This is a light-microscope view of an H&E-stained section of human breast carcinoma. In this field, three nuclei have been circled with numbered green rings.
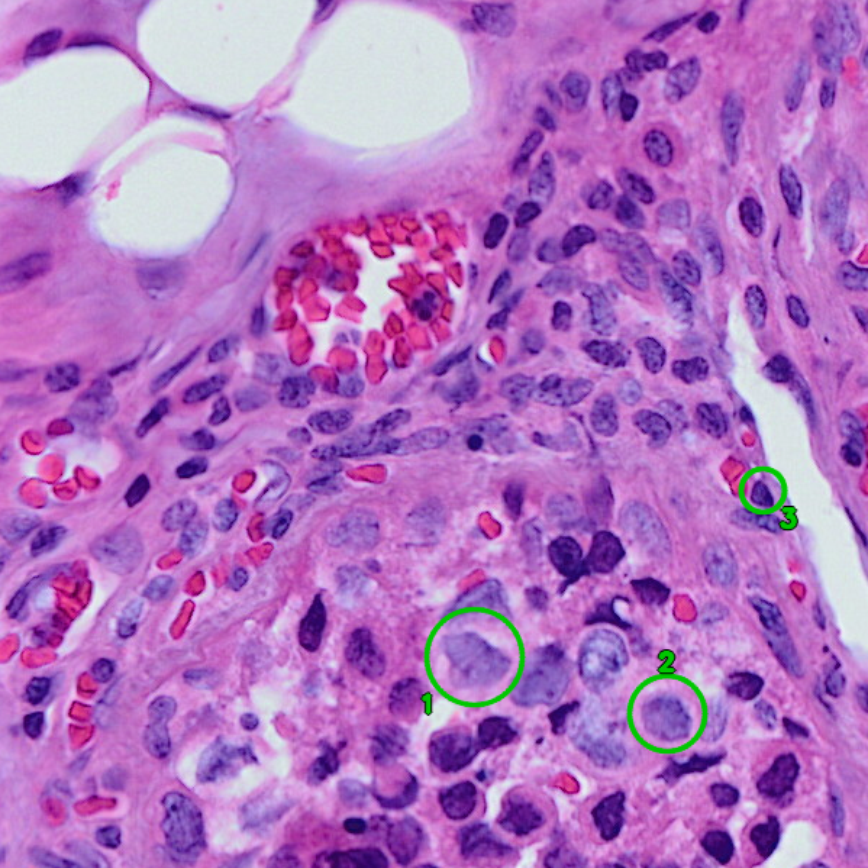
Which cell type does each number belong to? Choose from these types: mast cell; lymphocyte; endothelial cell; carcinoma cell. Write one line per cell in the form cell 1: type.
cell 1: carcinoma cell
cell 2: carcinoma cell
cell 3: endothelial cell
